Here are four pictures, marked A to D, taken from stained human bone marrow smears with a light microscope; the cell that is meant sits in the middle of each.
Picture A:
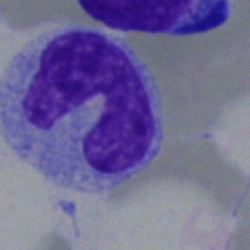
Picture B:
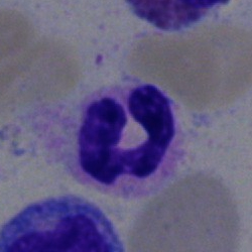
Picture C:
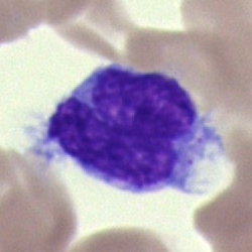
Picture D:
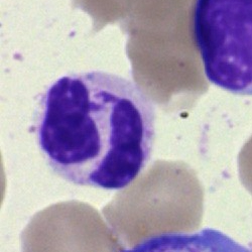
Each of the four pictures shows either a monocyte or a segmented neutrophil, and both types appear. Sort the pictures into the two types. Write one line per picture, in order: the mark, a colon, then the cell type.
A: monocyte
B: segmented neutrophil
C: monocyte
D: segmented neutrophil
